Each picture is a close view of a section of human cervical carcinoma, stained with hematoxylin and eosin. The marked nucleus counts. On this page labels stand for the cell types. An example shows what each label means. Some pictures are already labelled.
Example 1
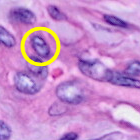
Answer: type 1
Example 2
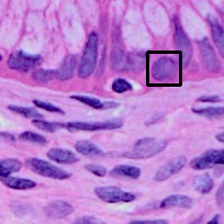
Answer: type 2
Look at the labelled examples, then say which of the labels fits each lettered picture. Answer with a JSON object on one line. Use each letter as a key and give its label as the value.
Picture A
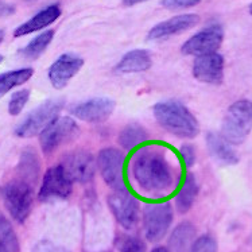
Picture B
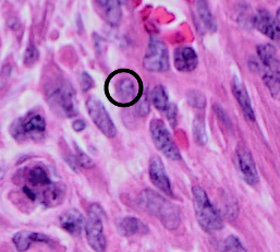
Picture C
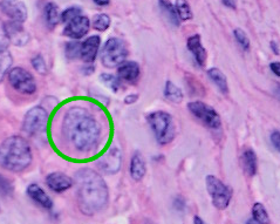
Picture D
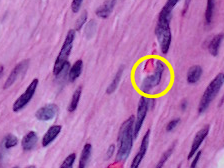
{"A": "type 2", "B": "type 1", "C": "type 1", "D": "type 1"}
